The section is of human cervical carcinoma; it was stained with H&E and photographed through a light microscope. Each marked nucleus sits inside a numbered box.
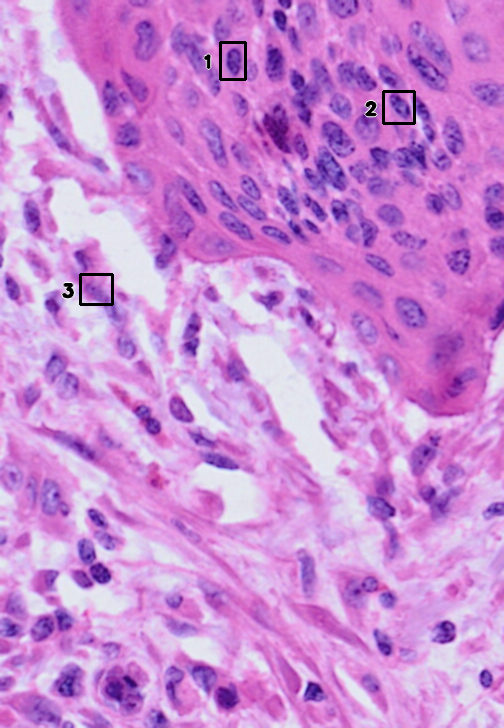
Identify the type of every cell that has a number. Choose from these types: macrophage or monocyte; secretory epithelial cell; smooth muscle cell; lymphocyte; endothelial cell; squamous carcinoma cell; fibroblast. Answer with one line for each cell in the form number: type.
1: squamous carcinoma cell
2: squamous carcinoma cell
3: fibroblast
